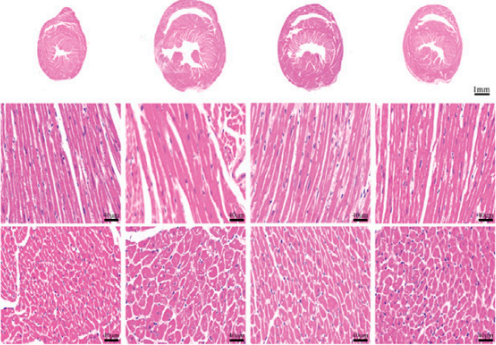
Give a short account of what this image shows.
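These are sections of heart muscle, and the cells you see are cardiomyocytes stained pink with purple-blue nuclei. The top row shows whole transverse sections of the heart, with the ventricular wall as a thick pink ring around the cavity. In the longitudinal sections the muscle fibres run as long parallel pink bands, each with elongated nuclei lying inside them. Comparing the columns, the size of these cross-sectional profiles and the regularity of the fibres differ between the sections.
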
